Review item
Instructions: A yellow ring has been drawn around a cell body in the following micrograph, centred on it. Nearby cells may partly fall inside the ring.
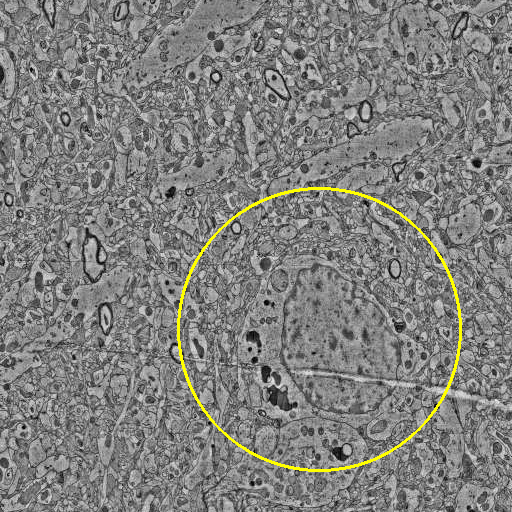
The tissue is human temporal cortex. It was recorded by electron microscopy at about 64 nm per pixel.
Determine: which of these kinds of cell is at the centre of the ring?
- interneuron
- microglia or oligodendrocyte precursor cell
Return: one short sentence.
The cell body in the middle of the ring is that of an interneuron.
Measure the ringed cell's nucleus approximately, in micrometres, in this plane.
In this plane the nucleus measures roughly 10 by 8 micrometers.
